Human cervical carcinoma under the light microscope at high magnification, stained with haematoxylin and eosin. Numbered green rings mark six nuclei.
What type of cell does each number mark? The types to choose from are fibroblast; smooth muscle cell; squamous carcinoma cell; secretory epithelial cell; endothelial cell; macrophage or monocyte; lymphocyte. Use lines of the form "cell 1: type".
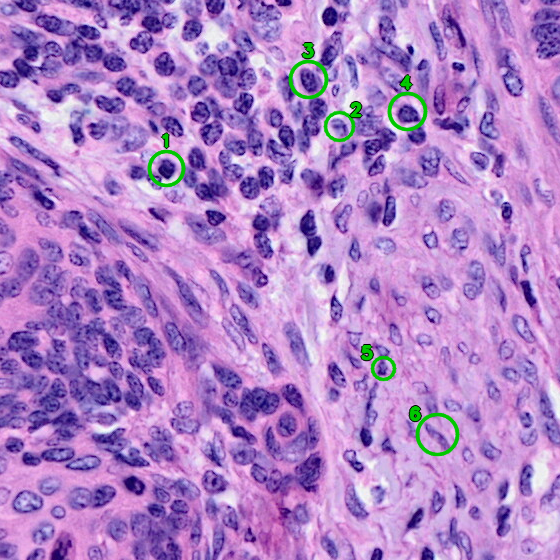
cell 1: lymphocyte
cell 2: lymphocyte
cell 3: lymphocyte
cell 4: lymphocyte
cell 5: smooth muscle cell
cell 6: smooth muscle cell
